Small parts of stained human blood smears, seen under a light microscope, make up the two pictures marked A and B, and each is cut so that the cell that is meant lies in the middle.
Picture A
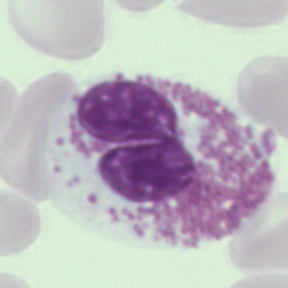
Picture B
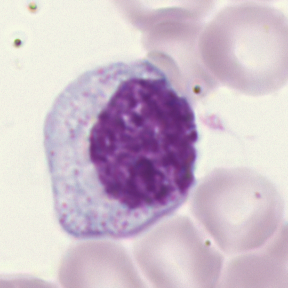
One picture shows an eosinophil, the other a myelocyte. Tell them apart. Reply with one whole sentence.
In picture A the cell is an eosinophil; in picture B, a myelocyte.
